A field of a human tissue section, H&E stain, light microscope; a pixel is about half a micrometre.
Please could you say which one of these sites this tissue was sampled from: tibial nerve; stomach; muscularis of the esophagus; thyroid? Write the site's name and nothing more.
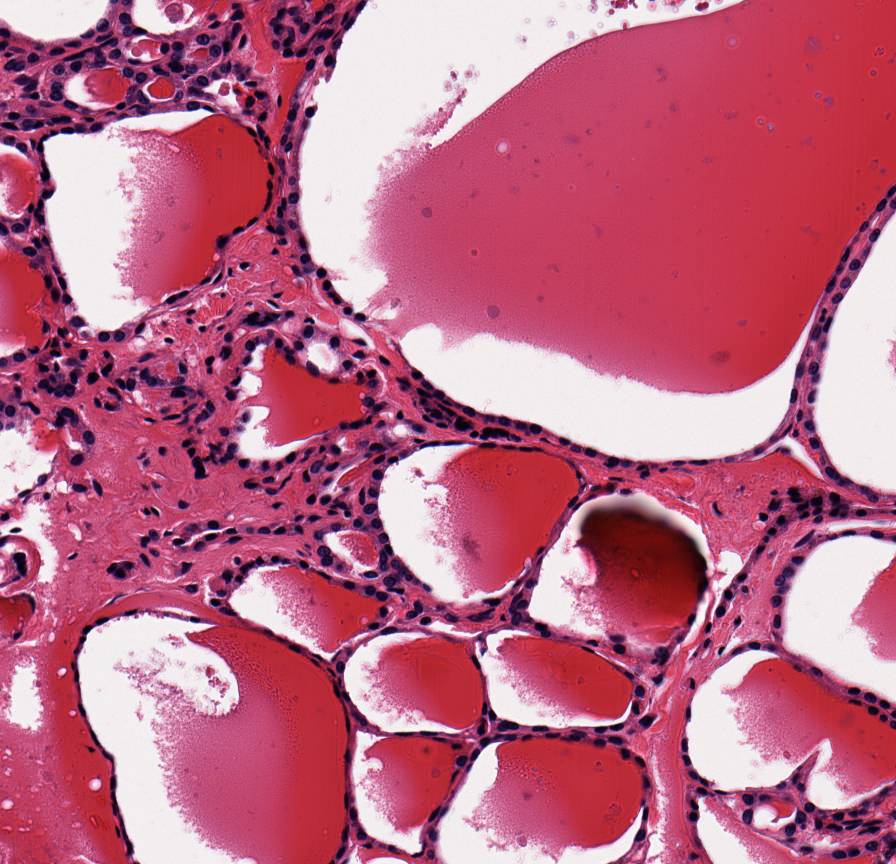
thyroid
